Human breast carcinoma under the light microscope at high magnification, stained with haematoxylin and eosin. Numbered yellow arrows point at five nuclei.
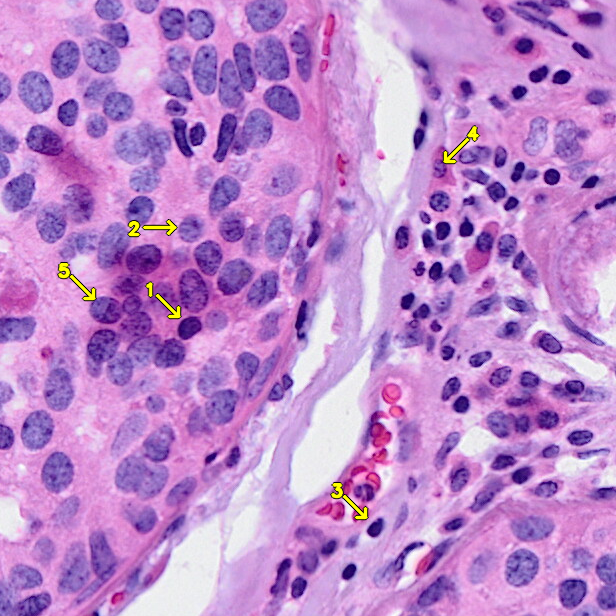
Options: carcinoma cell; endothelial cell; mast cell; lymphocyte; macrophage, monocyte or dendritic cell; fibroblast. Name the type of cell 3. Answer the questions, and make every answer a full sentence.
Cell 3 is classified as a lymphocyte.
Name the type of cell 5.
Cell 5 is classified as a carcinoma cell.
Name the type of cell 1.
That cell with number 1 is a carcinoma cell.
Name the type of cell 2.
The numbered cell 2 in this field is a carcinoma cell.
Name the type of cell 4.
At number 4, the marked cell is a mast cell.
